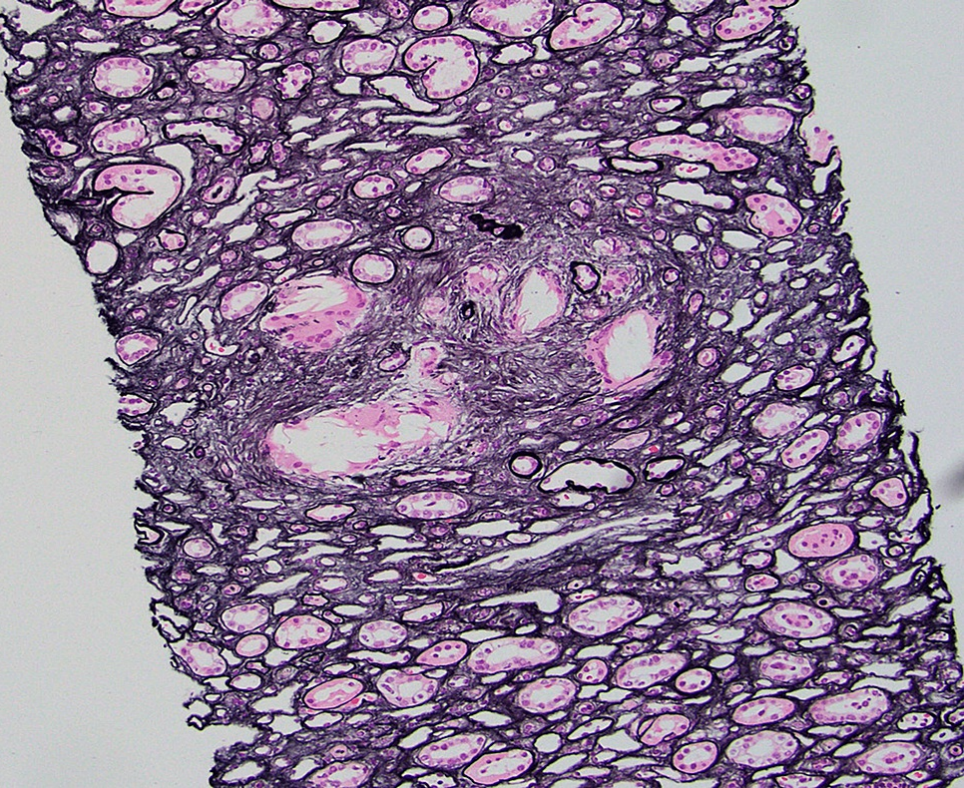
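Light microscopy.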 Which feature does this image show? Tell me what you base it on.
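In the centre of the core lie several pale pink amorphous deposits with a faintly fibrillar texture. Numerous small tubules surround this central nodule. So: gouty tophi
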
